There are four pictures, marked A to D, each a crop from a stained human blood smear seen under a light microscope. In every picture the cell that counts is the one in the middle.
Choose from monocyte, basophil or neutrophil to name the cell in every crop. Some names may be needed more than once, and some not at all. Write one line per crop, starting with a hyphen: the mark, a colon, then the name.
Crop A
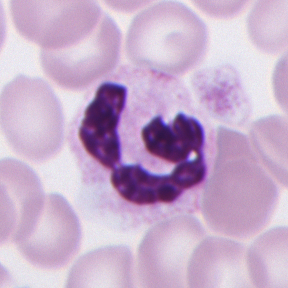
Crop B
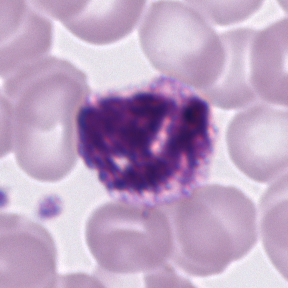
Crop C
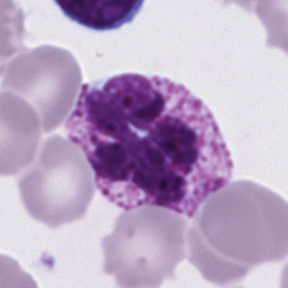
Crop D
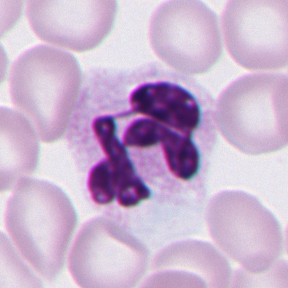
- A: neutrophil
- B: basophil
- C: basophil
- D: neutrophil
